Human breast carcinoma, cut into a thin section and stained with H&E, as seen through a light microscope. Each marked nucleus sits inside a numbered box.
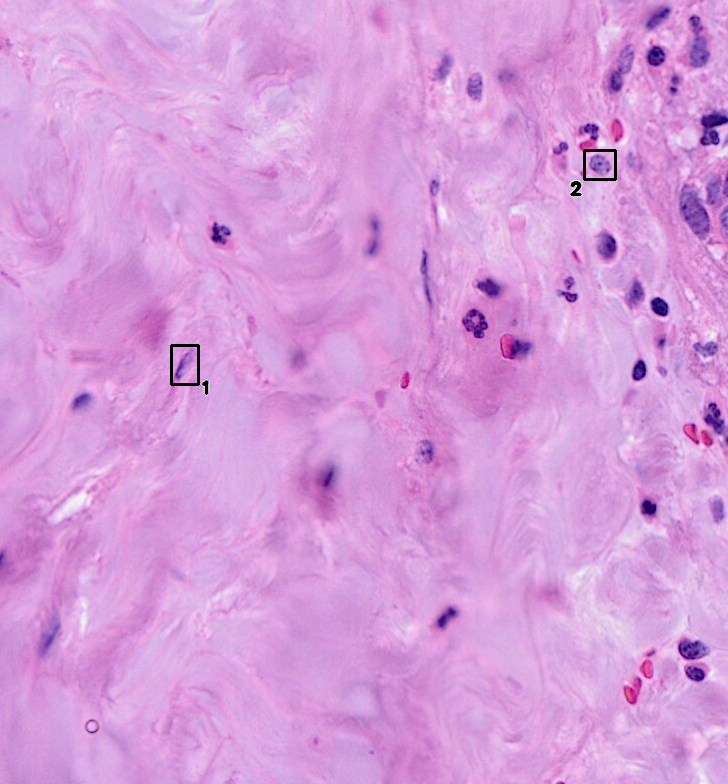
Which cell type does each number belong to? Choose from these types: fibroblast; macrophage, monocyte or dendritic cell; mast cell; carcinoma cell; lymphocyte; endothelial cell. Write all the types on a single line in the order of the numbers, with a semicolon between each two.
fibroblast; mast cell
